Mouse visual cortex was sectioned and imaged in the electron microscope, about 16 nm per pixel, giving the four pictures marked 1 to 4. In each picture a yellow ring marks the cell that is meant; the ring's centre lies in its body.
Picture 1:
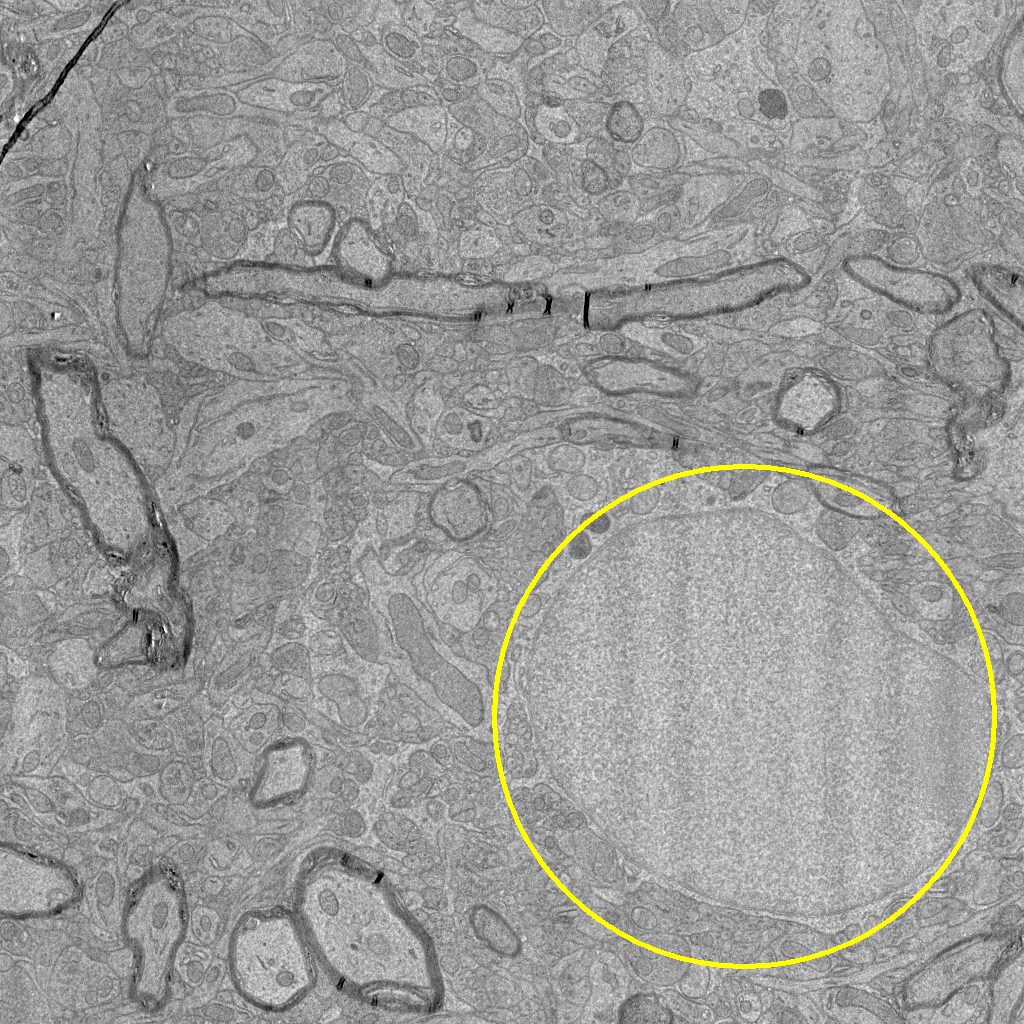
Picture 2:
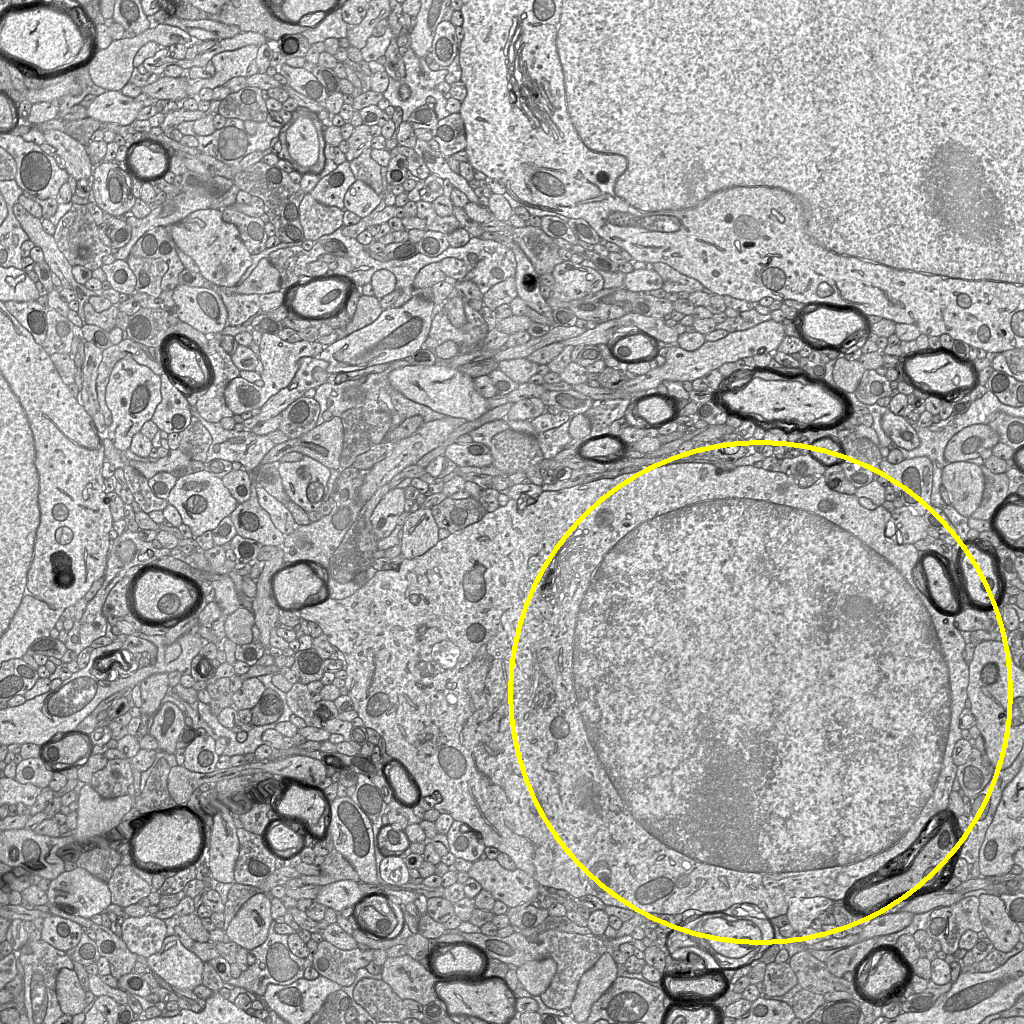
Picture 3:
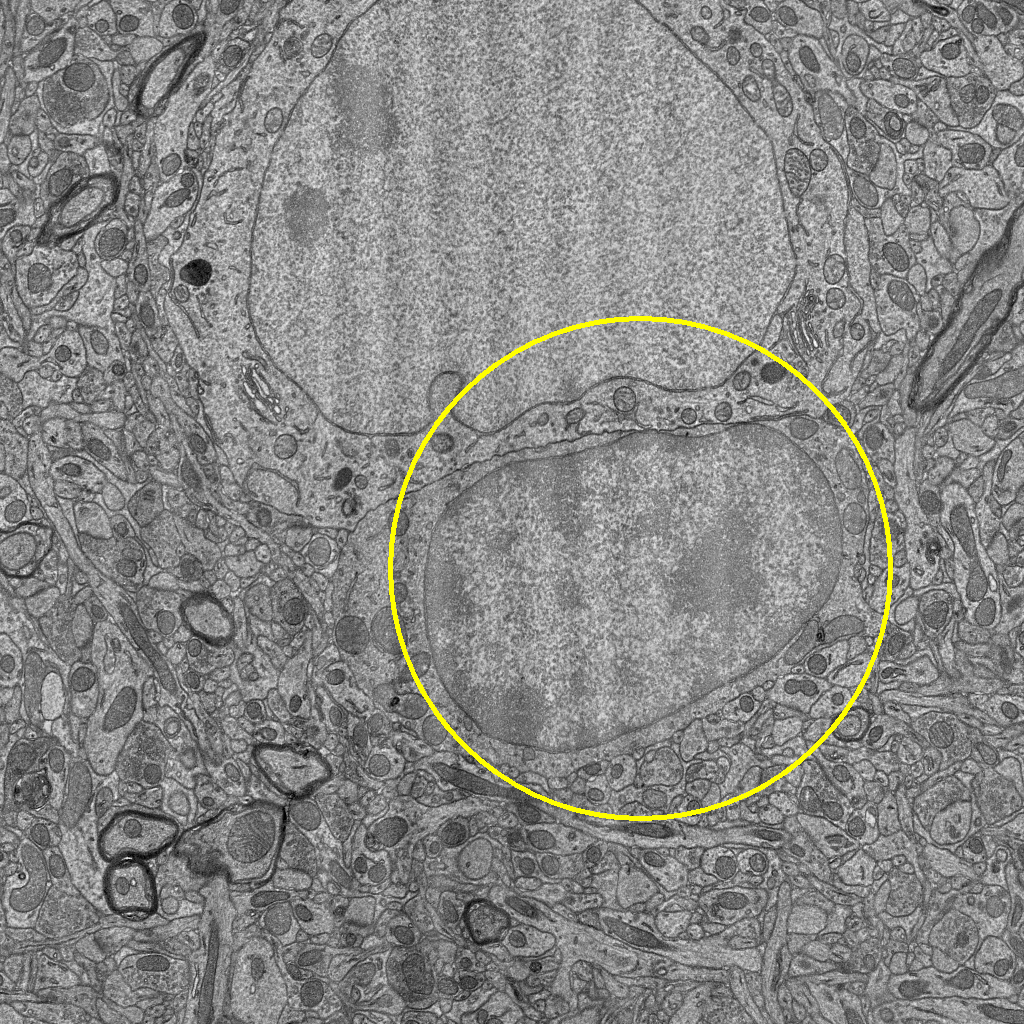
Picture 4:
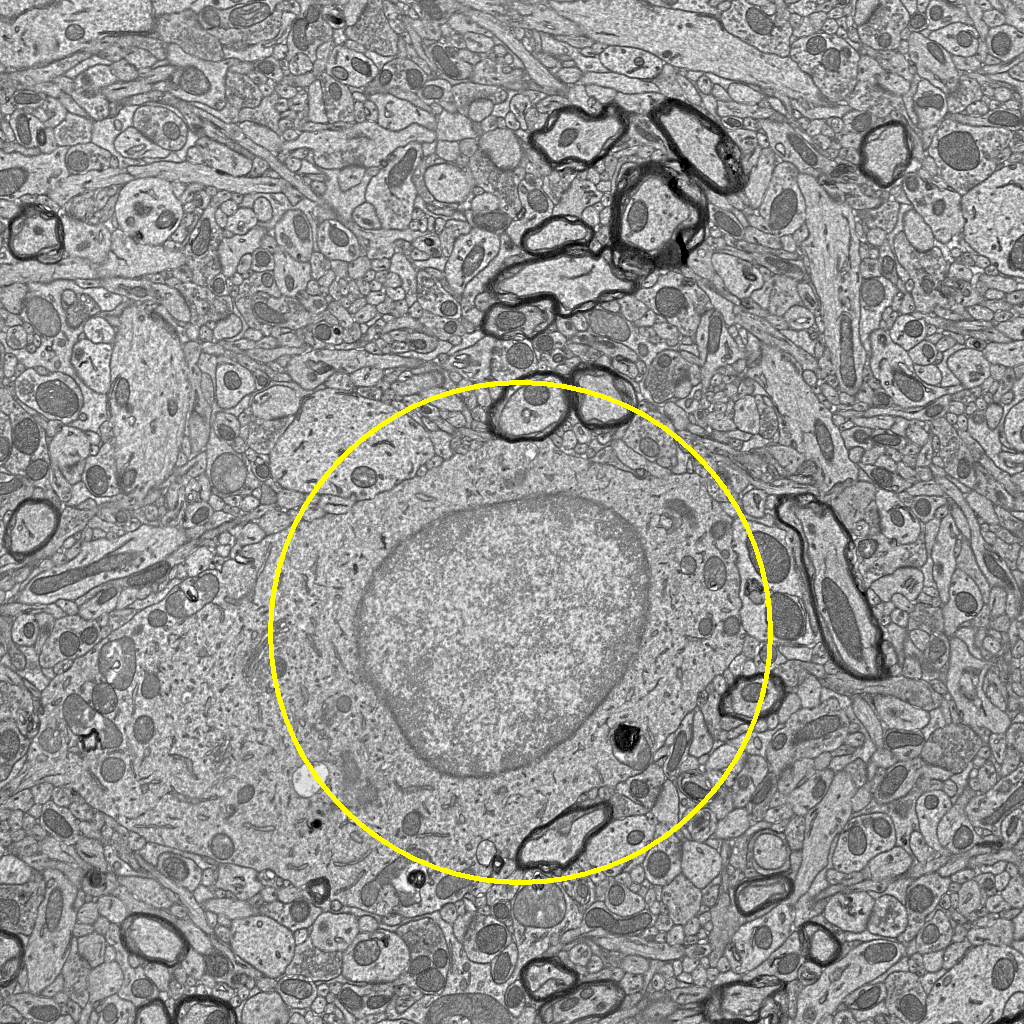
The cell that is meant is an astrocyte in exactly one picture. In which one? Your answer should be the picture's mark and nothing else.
1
